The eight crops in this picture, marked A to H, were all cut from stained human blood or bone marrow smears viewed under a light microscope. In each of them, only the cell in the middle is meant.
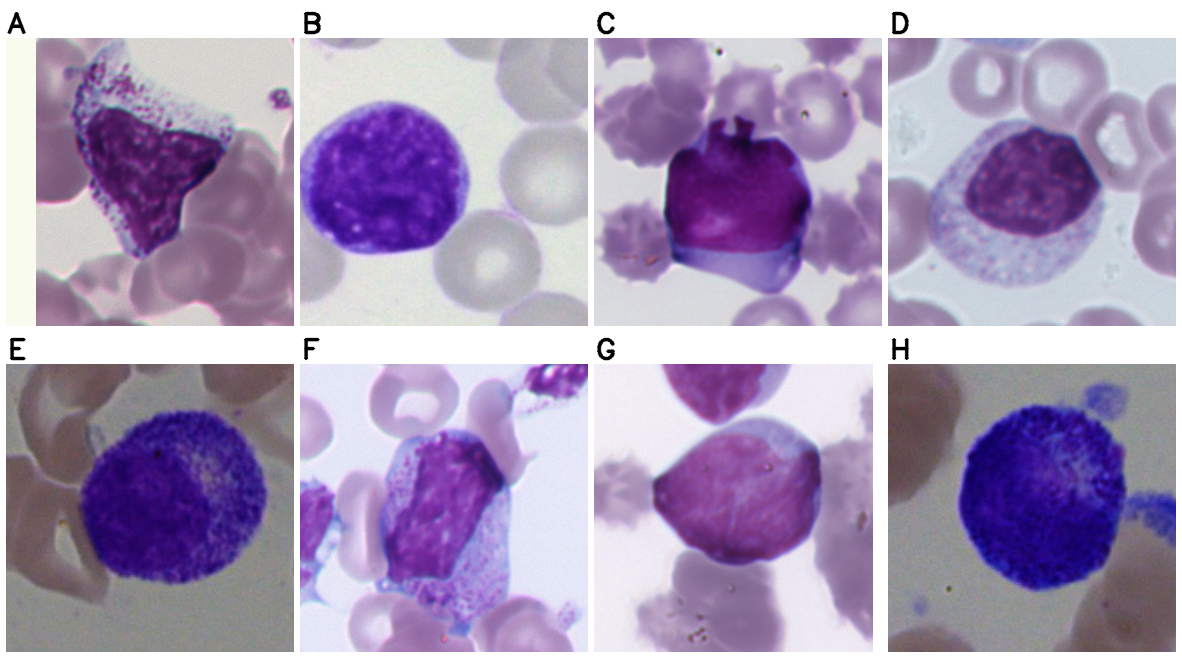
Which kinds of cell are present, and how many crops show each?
myelocyte: 5
blast: 3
